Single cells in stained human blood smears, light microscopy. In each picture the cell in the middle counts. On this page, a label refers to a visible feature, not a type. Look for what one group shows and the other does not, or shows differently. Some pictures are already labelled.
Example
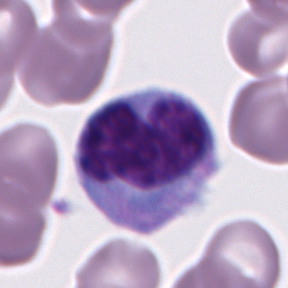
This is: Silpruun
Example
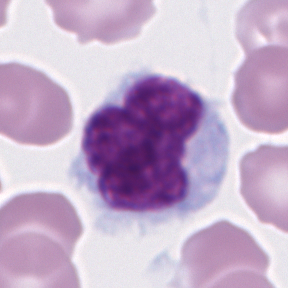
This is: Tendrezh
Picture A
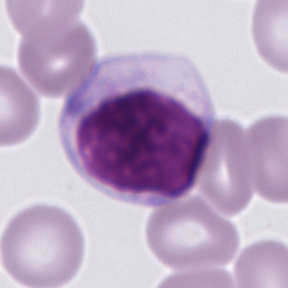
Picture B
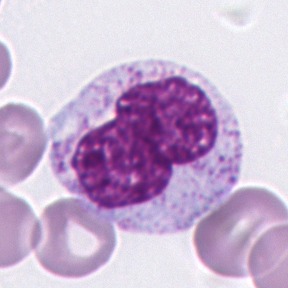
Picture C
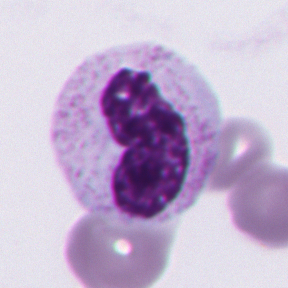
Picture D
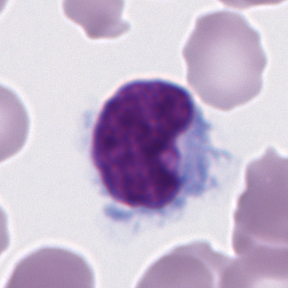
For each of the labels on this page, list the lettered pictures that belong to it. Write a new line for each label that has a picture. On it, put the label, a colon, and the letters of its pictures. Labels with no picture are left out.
Silpruun: A, D
Tendrezh: B, C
